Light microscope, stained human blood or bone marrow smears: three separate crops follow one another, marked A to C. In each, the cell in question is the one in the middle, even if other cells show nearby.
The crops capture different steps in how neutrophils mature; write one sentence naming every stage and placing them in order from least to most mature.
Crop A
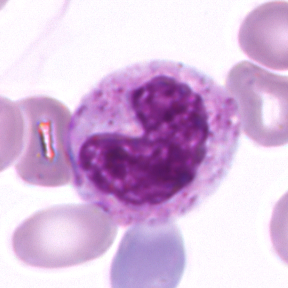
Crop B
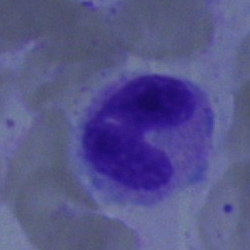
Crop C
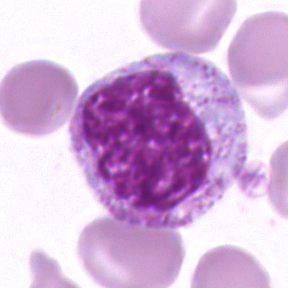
The order from least to most mature is crop C (a myelocyte), crop A (a metamyelocyte) and crop B (a band neutrophil).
